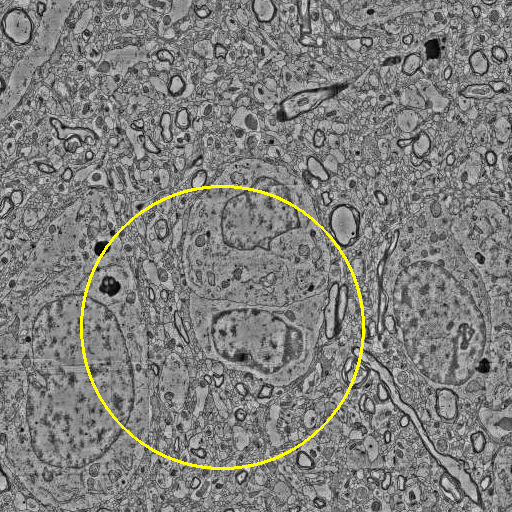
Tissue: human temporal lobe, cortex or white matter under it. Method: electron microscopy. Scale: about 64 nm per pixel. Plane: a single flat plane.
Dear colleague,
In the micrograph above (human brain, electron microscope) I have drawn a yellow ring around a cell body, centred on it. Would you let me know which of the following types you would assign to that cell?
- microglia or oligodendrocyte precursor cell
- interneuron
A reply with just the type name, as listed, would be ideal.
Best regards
microglia or oligodendrocyte precursor cell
